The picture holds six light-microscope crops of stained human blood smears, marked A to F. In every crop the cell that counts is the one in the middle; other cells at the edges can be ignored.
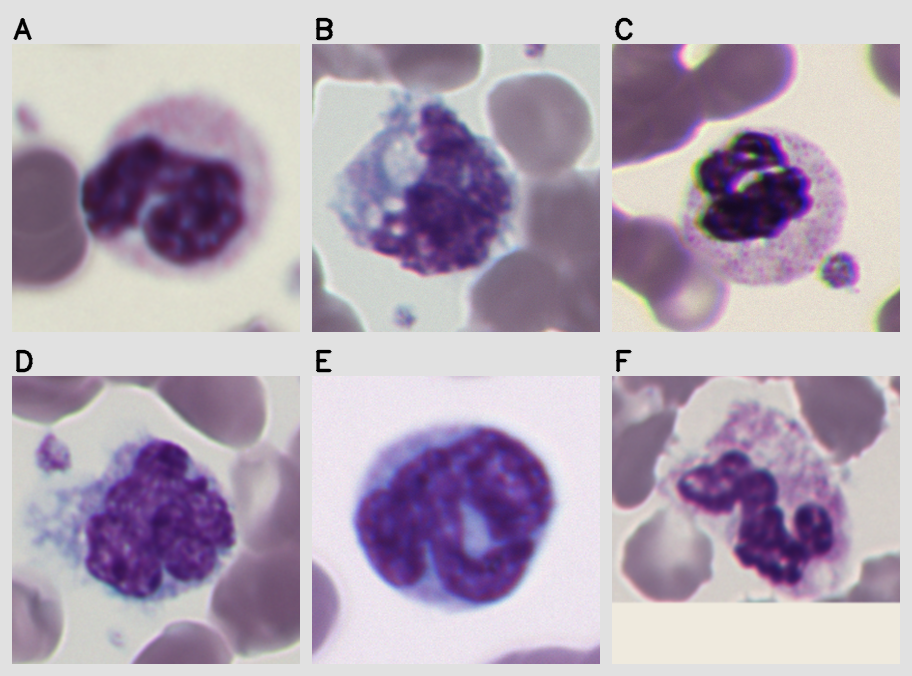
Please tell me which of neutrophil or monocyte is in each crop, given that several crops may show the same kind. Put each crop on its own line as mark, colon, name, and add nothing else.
A: neutrophil
B: monocyte
C: neutrophil
D: monocyte
E: monocyte
F: neutrophil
